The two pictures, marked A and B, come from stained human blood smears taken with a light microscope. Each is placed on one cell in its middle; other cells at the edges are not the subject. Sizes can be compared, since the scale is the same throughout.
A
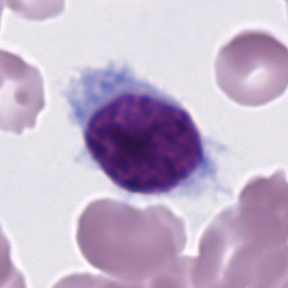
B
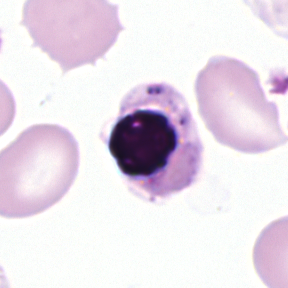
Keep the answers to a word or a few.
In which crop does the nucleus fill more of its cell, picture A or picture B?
A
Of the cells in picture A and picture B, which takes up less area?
B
